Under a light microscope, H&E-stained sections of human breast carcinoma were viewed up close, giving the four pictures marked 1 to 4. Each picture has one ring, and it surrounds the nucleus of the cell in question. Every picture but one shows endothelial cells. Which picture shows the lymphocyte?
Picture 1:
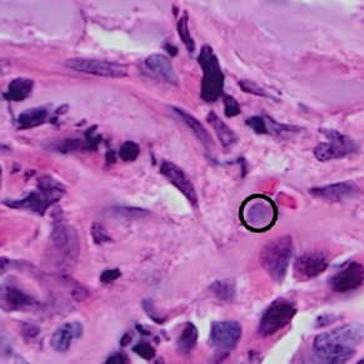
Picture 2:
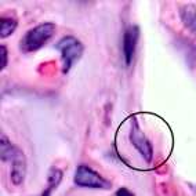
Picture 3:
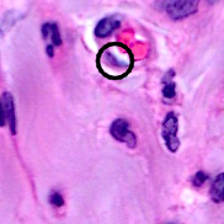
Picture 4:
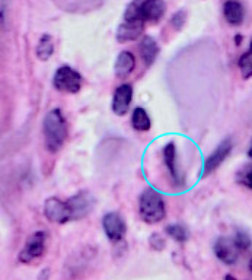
4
